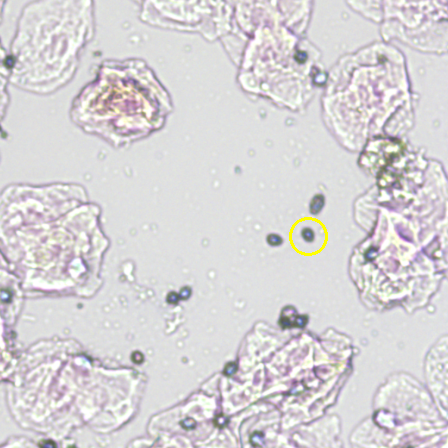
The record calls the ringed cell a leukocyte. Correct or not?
Correct; it is a leukocyte.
